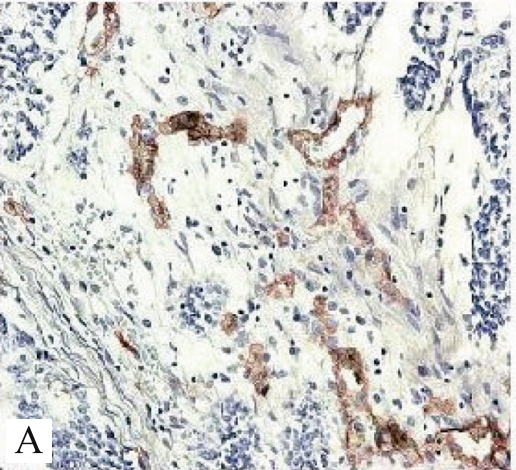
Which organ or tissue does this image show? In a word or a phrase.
Tumor.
